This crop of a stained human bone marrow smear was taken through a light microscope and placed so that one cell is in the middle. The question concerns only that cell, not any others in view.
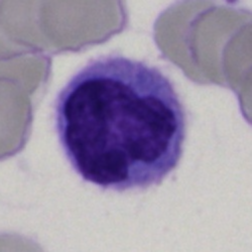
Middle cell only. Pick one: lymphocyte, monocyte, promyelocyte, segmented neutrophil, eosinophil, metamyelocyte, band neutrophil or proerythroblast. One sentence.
The cell shown in the center of this light-microscope crop is a monocyte.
